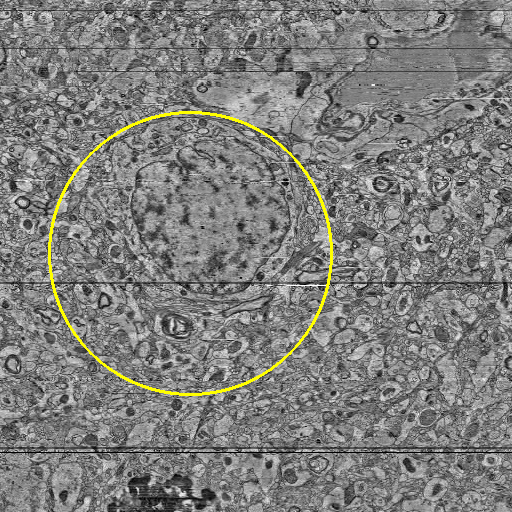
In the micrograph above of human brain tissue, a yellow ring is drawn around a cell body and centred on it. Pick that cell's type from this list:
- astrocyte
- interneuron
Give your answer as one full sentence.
Going by the list, an interneuron is the cell on which the yellow ring is centred.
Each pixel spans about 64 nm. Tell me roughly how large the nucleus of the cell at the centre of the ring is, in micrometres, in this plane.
The nucleus of the ringed cell is approximately 10 micrometres across in this plane.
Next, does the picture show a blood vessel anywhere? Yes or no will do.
Yes, the picture includes a blood vessel.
